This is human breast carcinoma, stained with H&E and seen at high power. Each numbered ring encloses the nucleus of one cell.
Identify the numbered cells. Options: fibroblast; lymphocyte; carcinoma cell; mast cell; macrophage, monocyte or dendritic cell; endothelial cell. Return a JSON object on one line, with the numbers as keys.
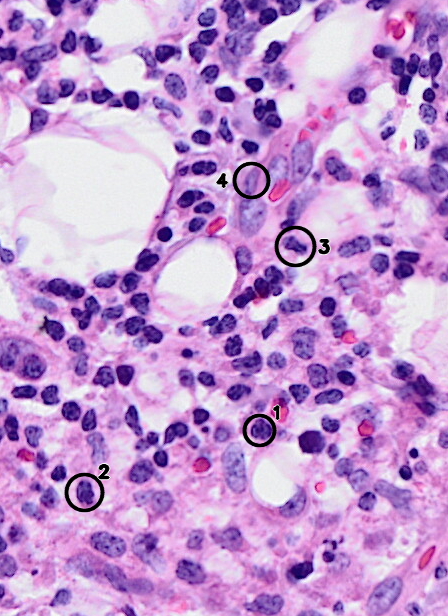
{"1": "lymphocyte", "2": "lymphocyte", "3": "lymphocyte", "4": "endothelial cell"}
